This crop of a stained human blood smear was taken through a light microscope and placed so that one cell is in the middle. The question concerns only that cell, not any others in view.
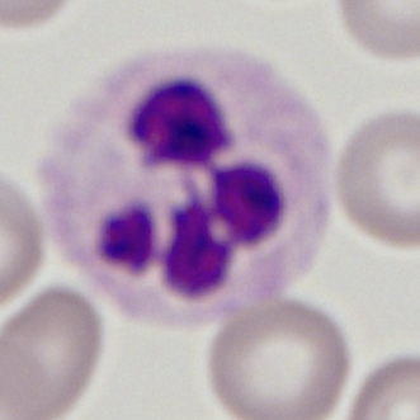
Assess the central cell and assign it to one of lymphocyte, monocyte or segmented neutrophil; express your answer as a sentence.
As for the central cell, it is a segmented neutrophil.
